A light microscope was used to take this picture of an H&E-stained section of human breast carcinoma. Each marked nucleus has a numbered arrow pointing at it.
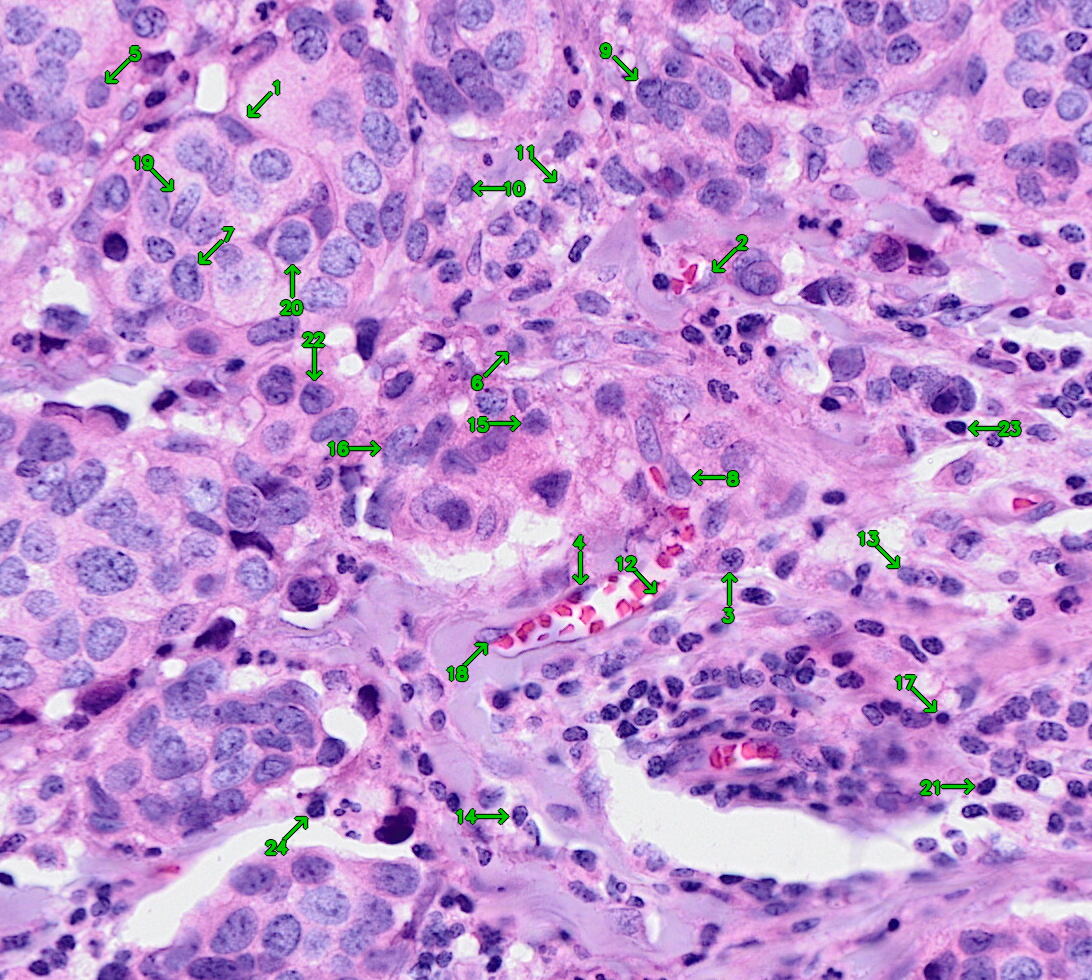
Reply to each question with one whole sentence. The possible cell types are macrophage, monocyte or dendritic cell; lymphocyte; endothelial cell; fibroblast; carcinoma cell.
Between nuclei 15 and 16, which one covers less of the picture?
The smaller nucleus is 15, and 16 covers roughly 2 times its area.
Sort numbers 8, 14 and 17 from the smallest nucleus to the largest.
The order from the smallest nucleus to the largest is 17, 14, 8.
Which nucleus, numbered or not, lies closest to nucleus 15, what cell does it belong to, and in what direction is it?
Just above and to the left of nucleus 15 lies the nearest nucleus, which belongs to a macrophage, monocyte or dendritic cell.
